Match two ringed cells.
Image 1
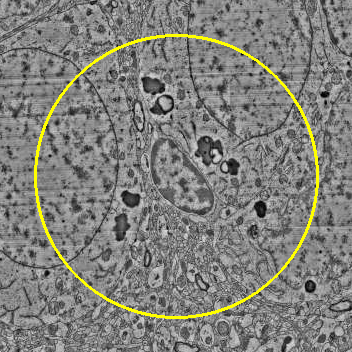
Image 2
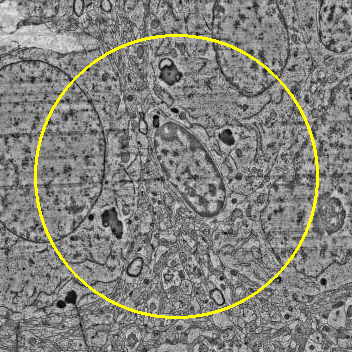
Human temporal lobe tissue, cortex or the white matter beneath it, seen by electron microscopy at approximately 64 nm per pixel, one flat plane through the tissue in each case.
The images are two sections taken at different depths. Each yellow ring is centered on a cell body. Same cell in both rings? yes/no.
yes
